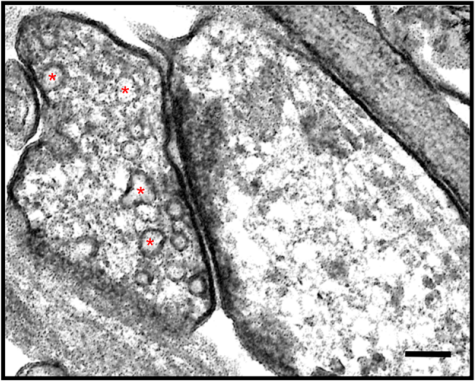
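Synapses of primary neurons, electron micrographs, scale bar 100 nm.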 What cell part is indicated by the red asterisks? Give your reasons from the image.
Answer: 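Enlarged synaptic vesicles. The asterisks sit on round membrane-bound vesicles inside a nerve terminal. The marked vesicles are larger than many of the surrounding small clear vesicles.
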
